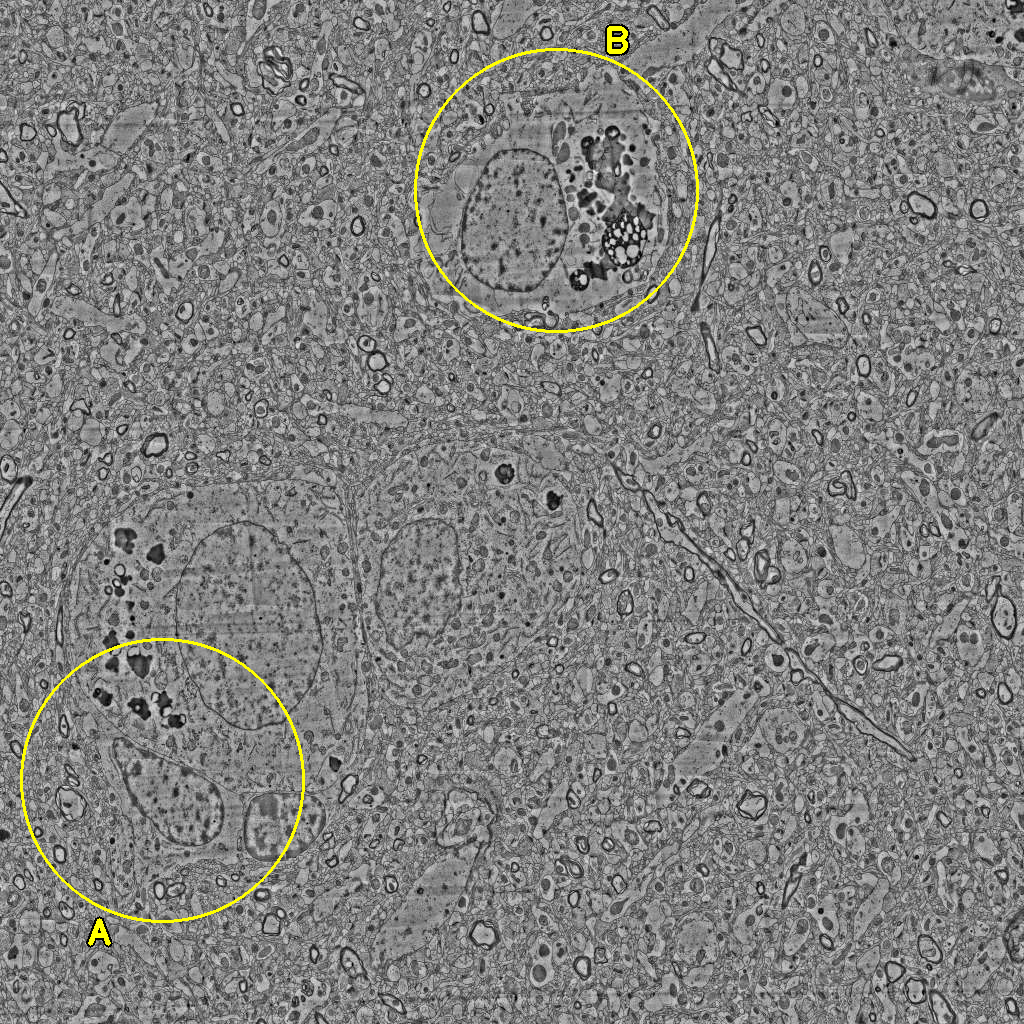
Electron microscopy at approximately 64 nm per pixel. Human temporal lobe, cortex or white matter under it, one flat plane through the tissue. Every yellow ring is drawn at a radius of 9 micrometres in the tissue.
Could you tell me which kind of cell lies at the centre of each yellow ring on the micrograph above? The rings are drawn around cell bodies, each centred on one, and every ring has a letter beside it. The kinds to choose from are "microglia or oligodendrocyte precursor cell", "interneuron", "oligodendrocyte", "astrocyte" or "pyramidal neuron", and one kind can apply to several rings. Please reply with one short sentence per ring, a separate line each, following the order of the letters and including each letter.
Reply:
Ring A circles a microglial cell or oligodendrocyte precursor cell.
Ring B circles an astrocyte.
